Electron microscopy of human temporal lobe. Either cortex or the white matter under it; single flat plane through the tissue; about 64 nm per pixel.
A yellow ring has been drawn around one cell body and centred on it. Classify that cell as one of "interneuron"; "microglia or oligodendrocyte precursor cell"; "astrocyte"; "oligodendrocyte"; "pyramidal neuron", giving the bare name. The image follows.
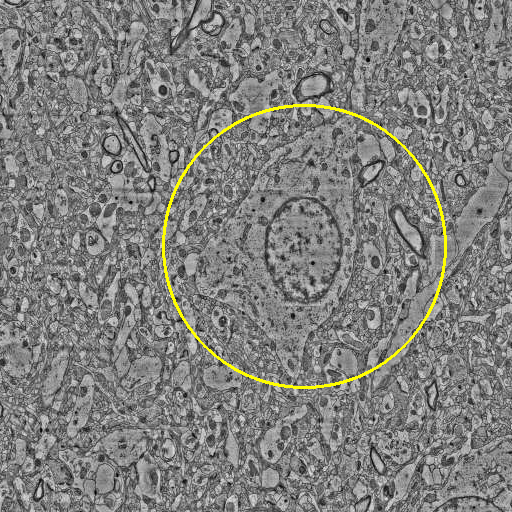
pyramidal neuron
